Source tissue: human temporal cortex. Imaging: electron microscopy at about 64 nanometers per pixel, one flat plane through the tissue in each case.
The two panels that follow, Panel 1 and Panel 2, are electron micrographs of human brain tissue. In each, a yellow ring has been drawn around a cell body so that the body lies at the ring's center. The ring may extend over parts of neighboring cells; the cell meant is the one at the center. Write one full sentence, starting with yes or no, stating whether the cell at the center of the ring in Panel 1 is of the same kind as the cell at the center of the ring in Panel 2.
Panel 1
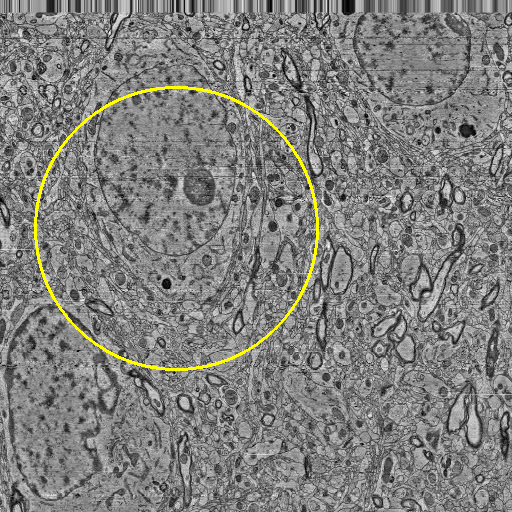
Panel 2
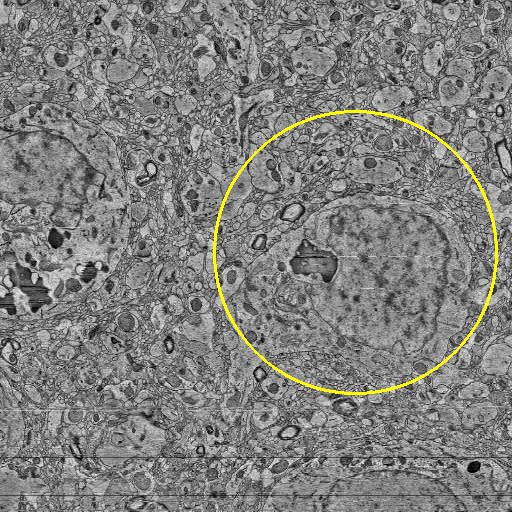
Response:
No, the cells in the two panels are of two kinds.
